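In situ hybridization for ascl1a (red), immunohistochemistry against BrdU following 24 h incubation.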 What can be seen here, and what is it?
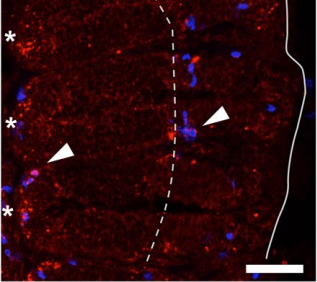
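A section through several olfactory lamellae, with their folded curves at the left edge and the outer outline at the right. Blue labelled nuclei gather at the curves between lamellae and along a line across the lamellae partway out, and a few of them also carry red label.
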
